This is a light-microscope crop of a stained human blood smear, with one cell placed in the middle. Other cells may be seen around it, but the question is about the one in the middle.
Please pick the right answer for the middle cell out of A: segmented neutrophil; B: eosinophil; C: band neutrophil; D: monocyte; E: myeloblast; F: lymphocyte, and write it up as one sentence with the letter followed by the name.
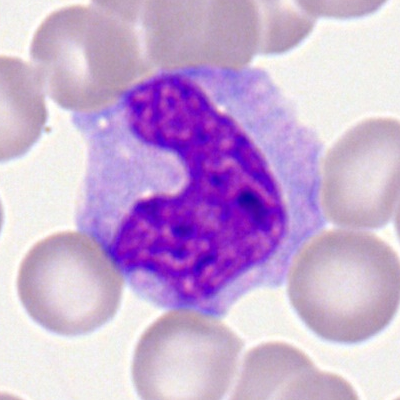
Here the central cell is a monocyte, and option D is correct.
